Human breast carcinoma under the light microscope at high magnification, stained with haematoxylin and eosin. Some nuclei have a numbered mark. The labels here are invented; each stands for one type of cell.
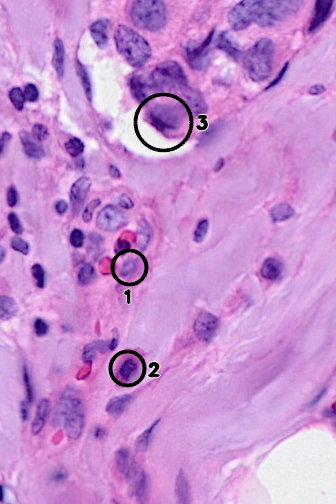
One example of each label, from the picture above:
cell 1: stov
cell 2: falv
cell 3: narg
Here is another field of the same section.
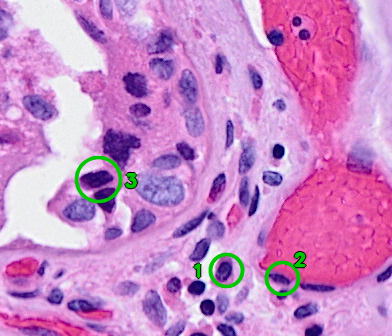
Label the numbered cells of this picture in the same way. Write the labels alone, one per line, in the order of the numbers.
falv
stov
narg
